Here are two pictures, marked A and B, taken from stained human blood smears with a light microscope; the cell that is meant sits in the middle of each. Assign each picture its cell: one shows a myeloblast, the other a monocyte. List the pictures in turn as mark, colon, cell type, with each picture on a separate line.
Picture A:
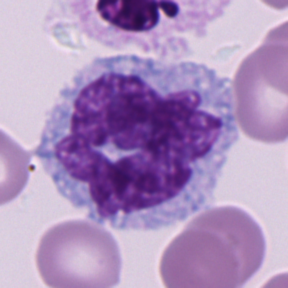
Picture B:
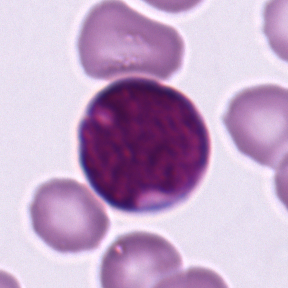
A: monocyte
B: myeloblast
